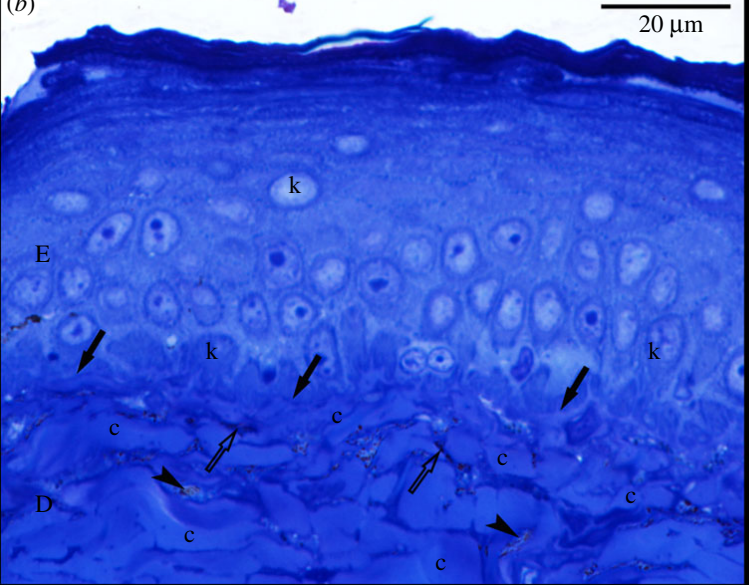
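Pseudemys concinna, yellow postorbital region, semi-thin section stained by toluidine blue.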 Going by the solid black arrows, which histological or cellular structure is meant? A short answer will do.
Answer: basal lamina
